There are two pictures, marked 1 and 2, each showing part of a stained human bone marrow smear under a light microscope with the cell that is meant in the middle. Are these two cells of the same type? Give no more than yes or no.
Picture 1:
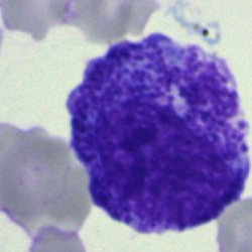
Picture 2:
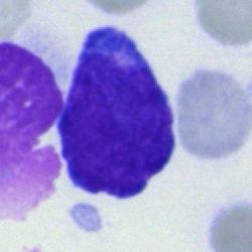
no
